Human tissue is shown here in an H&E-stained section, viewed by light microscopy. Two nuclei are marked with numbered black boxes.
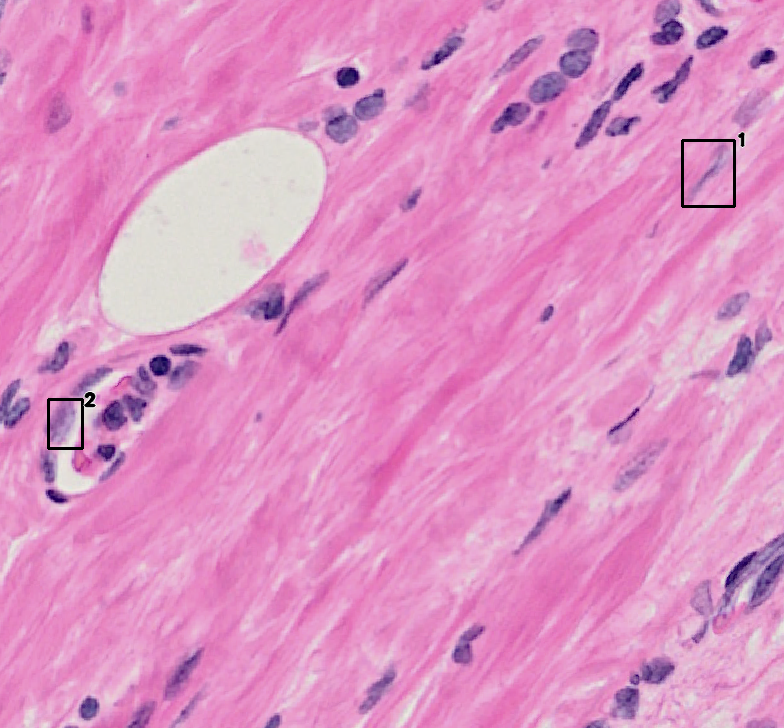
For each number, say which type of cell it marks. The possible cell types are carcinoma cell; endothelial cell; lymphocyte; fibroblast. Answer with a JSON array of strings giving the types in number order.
["fibroblast", "endothelial cell"]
